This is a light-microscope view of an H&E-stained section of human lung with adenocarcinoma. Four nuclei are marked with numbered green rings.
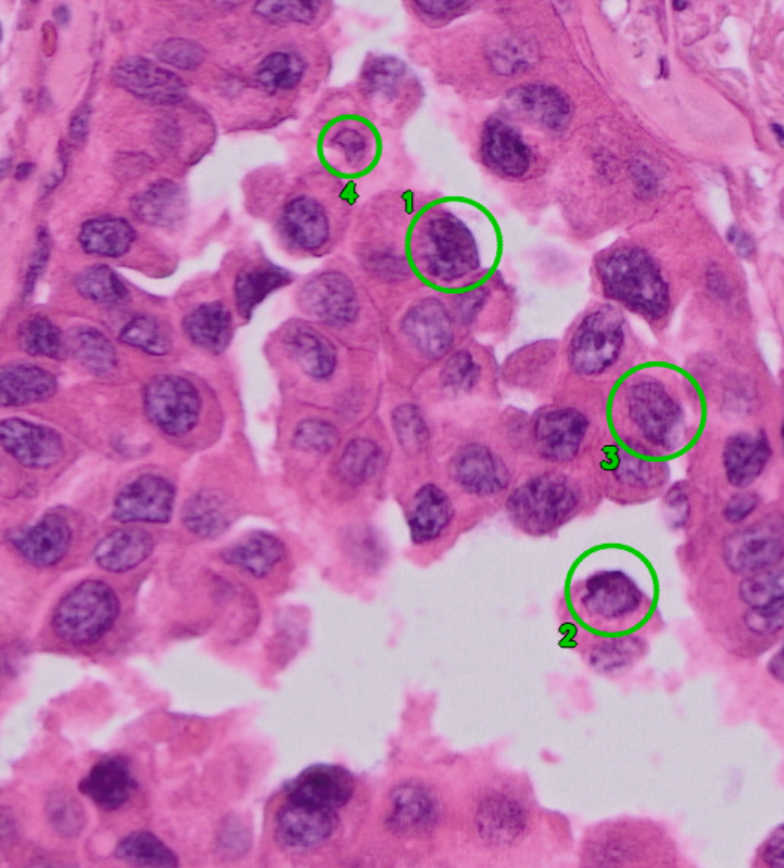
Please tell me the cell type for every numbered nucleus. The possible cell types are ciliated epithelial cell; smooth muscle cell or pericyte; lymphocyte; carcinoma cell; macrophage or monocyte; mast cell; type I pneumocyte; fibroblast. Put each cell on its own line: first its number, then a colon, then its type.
1: carcinoma cell
2: carcinoma cell
3: carcinoma cell
4: macrophage or monocyte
